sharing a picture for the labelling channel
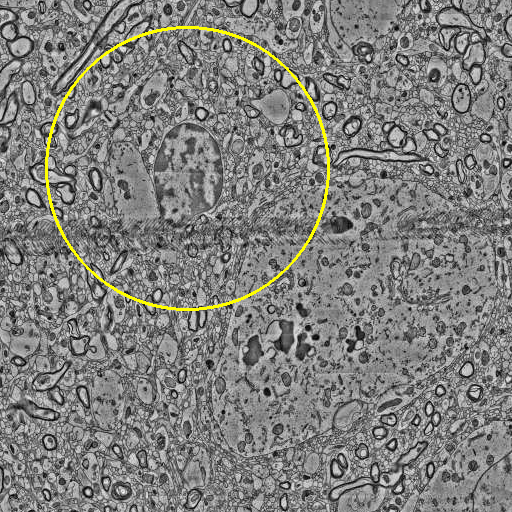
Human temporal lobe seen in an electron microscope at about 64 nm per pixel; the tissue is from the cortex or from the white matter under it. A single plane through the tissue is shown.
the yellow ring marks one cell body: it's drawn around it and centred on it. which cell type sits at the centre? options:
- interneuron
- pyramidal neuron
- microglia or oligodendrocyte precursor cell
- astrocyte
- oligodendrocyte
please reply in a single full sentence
In the picture, the cell at the ring's centre is a microglial cell or oligodendrocyte precursor cell, going by the list.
